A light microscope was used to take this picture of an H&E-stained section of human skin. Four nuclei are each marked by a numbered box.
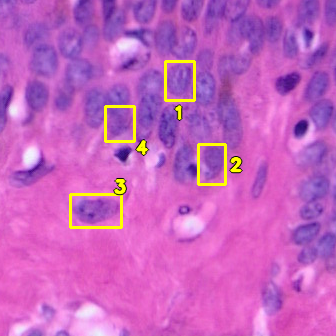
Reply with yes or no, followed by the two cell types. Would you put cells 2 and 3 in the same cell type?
No, cell 2 is a basal keratinocyte and cell 3 is a fibroblast.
